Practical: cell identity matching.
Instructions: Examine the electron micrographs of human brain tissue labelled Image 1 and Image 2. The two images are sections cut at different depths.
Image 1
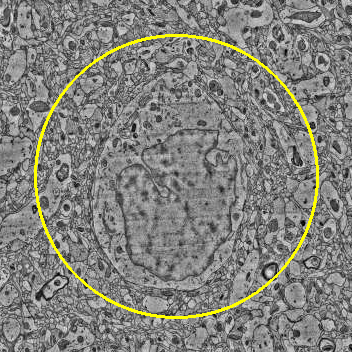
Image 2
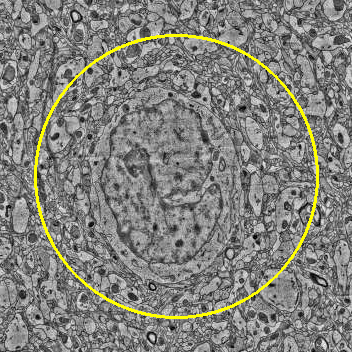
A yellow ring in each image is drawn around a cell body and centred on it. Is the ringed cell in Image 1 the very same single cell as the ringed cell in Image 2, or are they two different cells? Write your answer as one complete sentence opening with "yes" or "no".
No, the two rings were placed on two different cells.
